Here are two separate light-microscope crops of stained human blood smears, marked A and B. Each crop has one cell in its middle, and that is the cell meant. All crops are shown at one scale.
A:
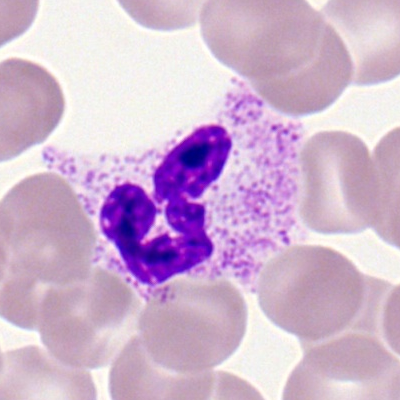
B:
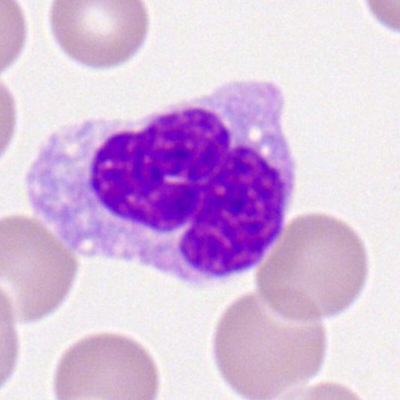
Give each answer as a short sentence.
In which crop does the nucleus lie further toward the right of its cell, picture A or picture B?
The nucleus in picture B lies further toward the right of its cell.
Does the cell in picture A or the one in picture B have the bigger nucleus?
Larger is the nucleus in picture B, at roughly 2 times the area of the other.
